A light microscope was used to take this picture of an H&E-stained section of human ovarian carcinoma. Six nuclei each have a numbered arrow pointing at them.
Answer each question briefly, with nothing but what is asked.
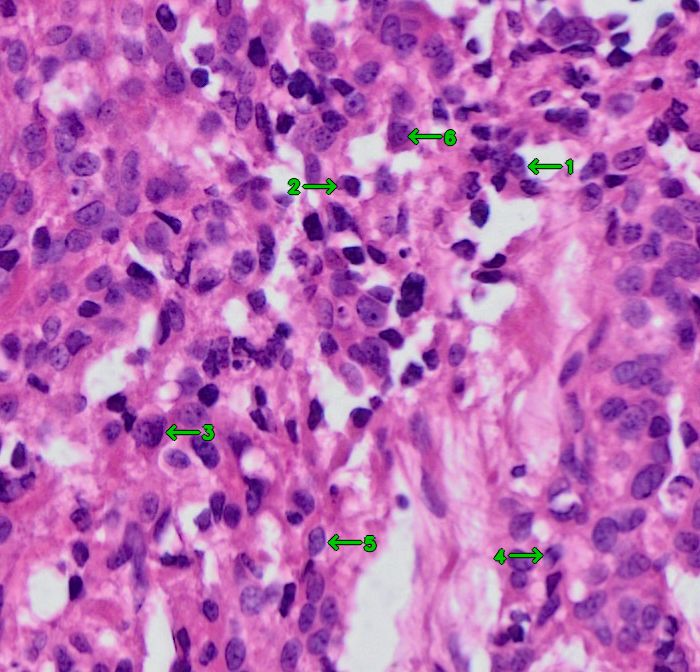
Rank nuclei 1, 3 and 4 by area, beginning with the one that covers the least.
4, 1, 3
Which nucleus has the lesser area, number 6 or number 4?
4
